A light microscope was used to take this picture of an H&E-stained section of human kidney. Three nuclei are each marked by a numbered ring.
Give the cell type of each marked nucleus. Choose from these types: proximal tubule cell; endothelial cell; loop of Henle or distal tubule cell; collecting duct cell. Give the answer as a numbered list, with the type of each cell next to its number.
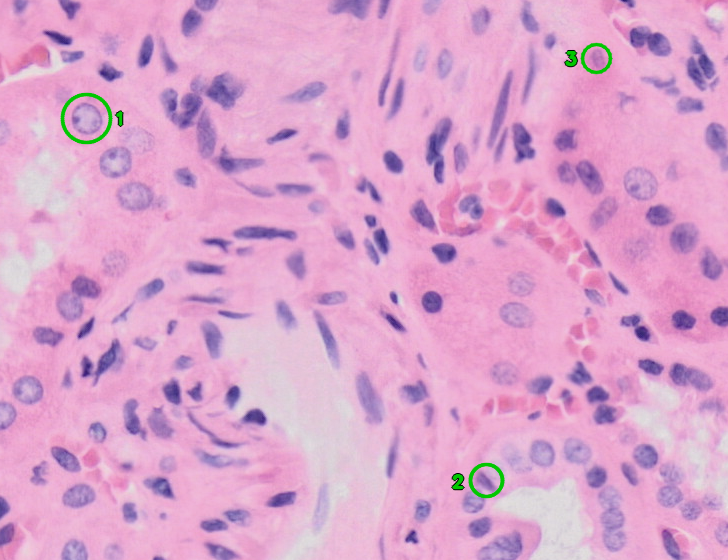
1. proximal tubule cell
2. collecting duct cell
3. proximal tubule cell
